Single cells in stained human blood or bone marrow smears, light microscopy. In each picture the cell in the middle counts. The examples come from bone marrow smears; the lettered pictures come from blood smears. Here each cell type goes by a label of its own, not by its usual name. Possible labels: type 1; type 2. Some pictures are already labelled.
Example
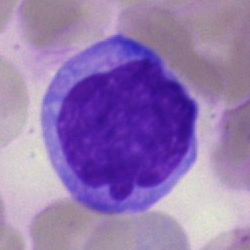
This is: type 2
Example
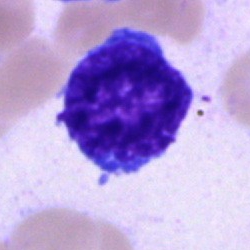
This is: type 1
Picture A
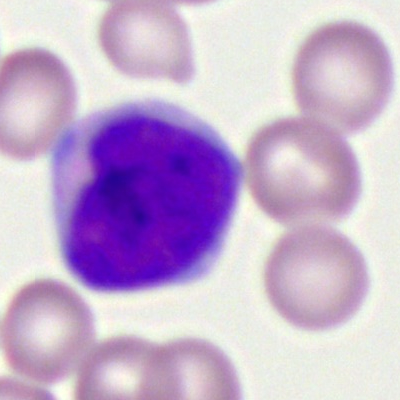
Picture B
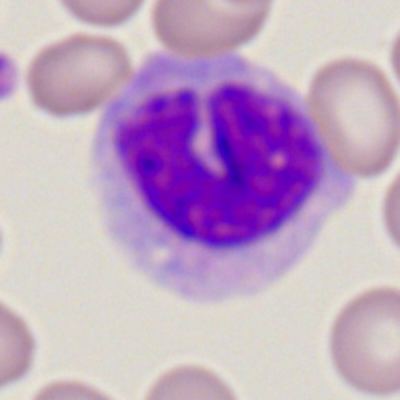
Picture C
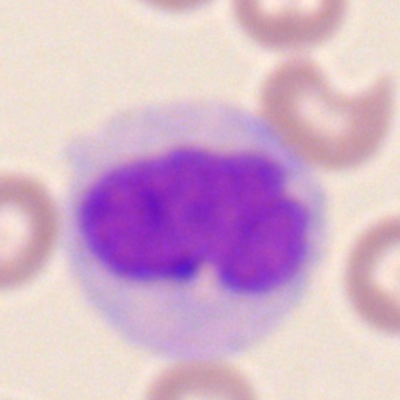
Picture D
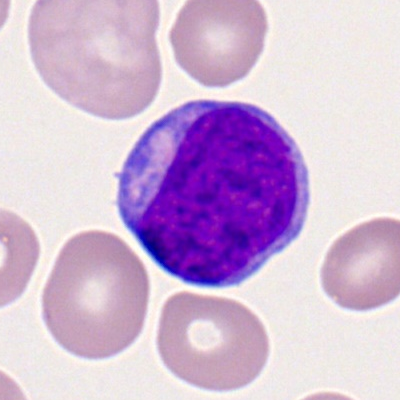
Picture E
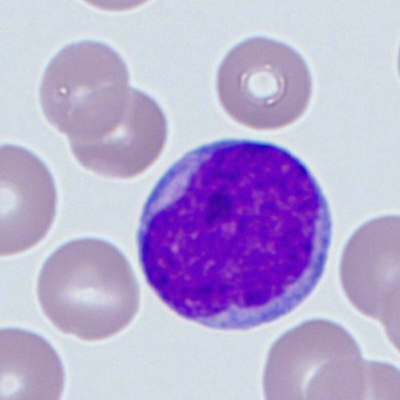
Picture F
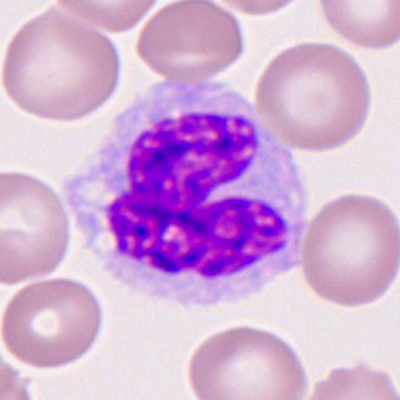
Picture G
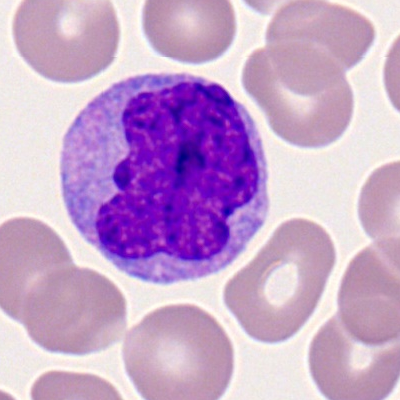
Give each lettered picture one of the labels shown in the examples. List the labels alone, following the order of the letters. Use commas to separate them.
type 1, type 2, type 2, type 1, type 1, type 2, type 2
